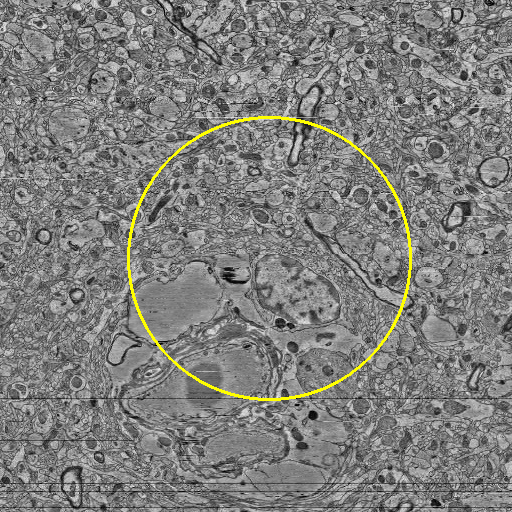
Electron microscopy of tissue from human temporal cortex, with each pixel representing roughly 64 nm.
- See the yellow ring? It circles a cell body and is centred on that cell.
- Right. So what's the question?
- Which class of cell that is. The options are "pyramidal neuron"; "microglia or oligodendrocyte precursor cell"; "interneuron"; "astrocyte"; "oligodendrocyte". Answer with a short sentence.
The centre of the ring holds a microglial cell or oligodendrocyte precursor cell.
